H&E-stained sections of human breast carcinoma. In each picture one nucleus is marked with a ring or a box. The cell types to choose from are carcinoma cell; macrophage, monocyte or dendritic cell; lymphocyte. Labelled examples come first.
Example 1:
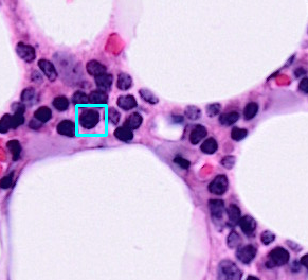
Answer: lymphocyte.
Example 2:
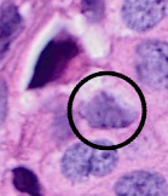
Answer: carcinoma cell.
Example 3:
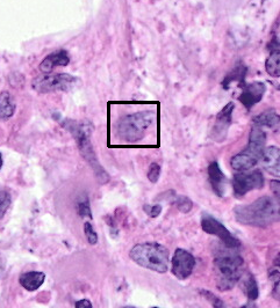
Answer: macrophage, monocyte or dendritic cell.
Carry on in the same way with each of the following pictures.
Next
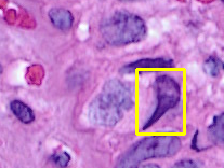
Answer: carcinoma cell.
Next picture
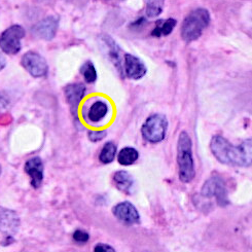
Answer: lymphocyte.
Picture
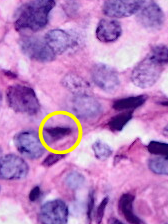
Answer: carcinoma cell.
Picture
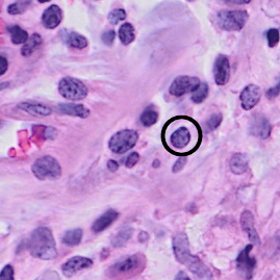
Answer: lymphocyte.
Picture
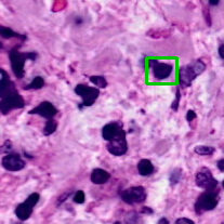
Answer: lymphocyte.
